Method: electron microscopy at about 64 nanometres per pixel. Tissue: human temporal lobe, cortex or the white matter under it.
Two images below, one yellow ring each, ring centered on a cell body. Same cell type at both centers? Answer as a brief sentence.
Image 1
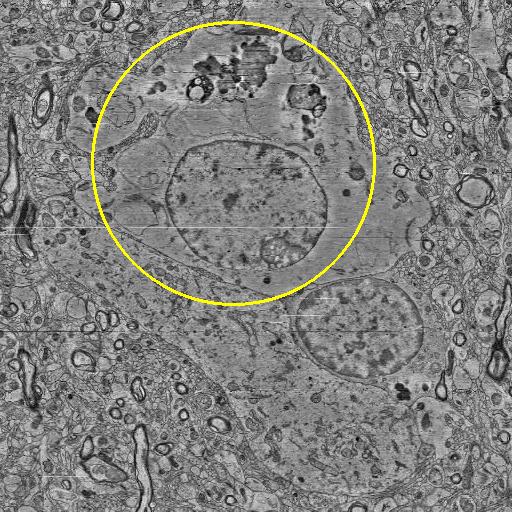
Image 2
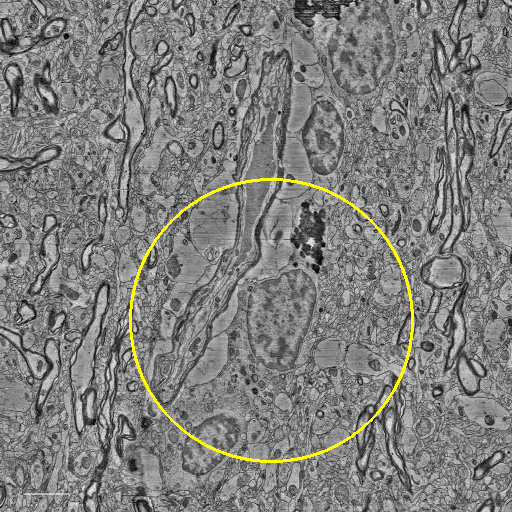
No, the cells are of two separate types.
